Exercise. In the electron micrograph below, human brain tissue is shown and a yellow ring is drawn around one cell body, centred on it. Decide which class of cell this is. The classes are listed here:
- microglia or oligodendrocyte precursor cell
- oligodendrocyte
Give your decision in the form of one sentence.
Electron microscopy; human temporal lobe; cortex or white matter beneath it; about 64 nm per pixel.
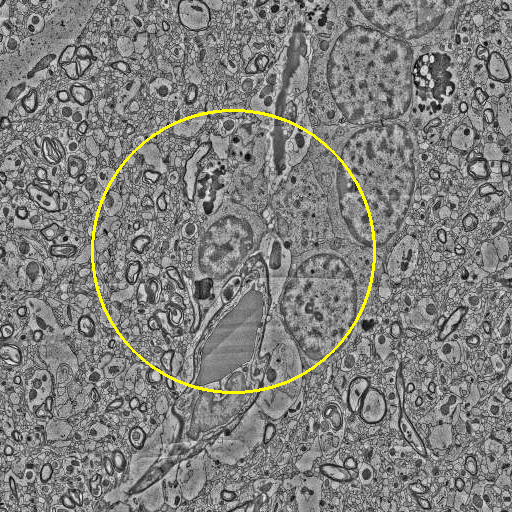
The cell body marked by the ring belongs to an oligodendrocyte.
